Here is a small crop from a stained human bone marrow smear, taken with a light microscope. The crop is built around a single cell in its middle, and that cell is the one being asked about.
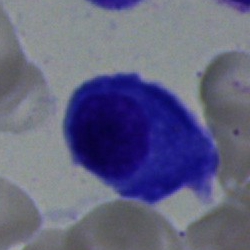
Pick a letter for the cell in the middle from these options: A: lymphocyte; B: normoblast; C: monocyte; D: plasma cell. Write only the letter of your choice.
D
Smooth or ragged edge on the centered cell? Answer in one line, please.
Projections or ragged segments give this cell an irregular rather than smooth border.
